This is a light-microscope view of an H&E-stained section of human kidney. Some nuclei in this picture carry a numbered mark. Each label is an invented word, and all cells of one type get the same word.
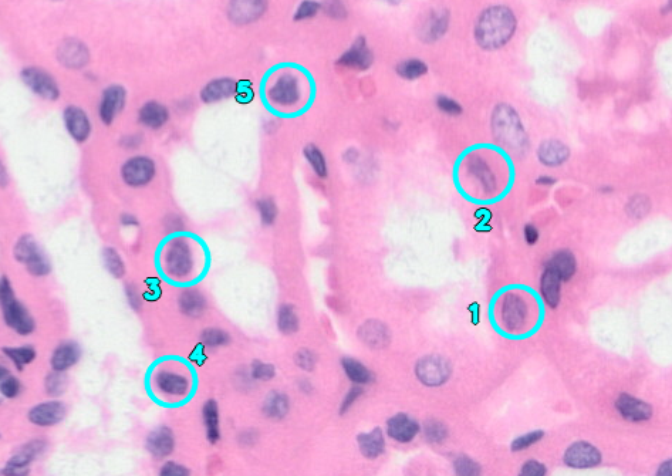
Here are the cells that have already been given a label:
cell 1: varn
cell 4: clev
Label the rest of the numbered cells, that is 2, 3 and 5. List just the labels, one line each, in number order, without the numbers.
varn
clev
clev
